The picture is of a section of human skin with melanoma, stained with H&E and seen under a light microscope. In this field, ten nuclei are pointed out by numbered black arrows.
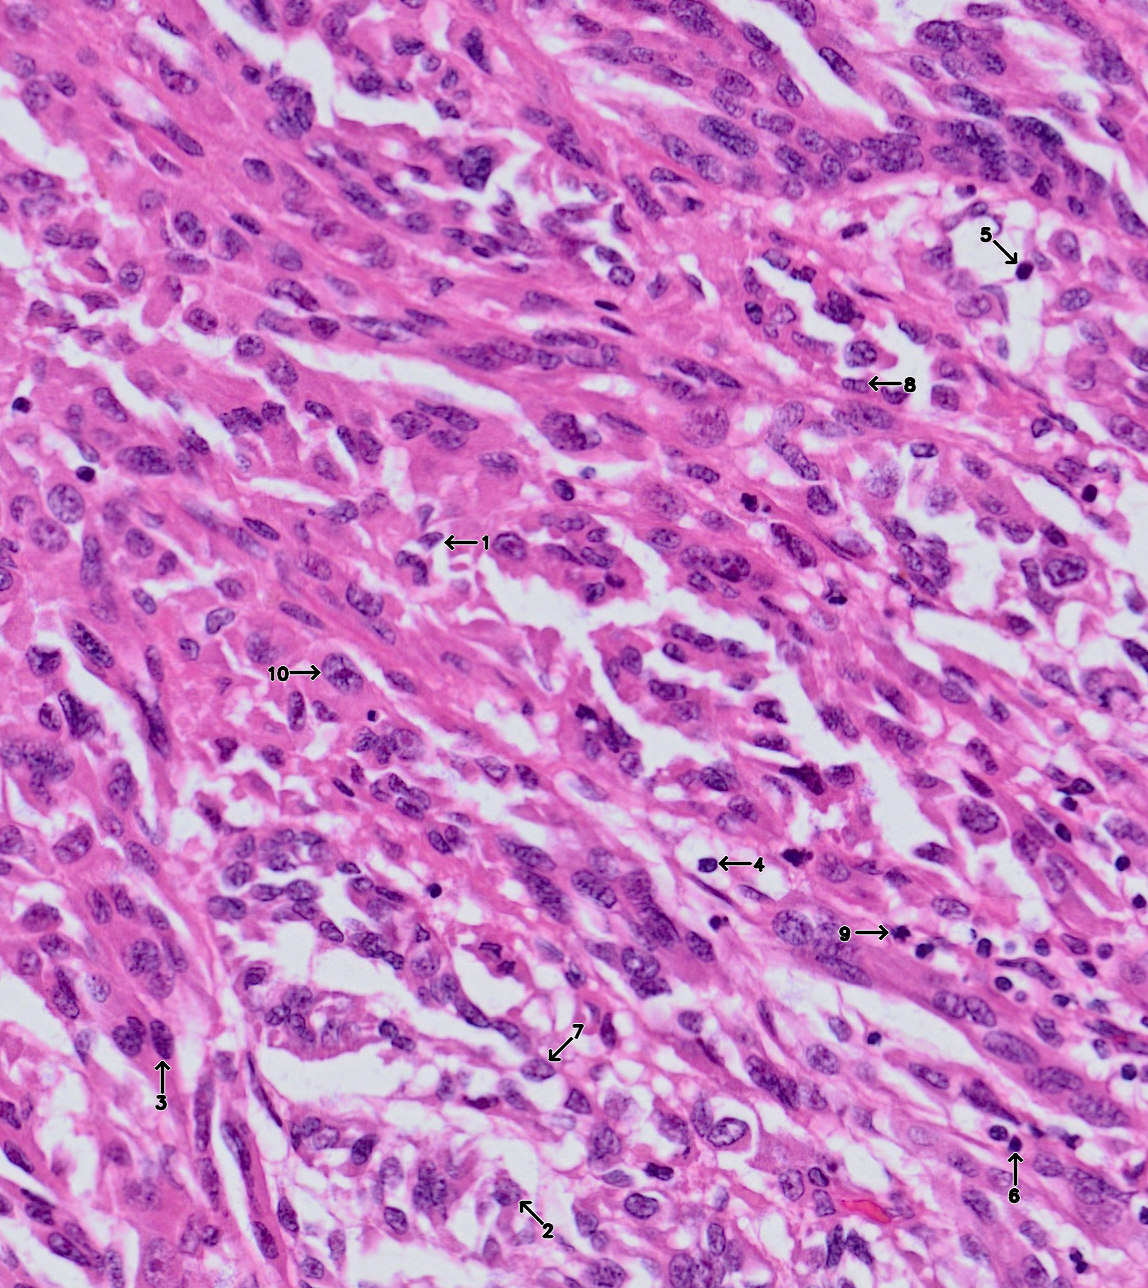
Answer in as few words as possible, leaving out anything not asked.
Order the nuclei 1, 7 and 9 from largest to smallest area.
7, 1, 9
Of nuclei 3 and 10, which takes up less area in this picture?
3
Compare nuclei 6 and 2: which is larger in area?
2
